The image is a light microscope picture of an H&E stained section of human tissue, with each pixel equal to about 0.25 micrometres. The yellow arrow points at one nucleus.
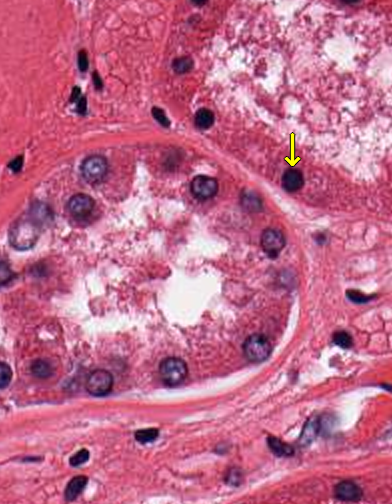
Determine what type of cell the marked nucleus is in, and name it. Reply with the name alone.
proximal tubule cell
